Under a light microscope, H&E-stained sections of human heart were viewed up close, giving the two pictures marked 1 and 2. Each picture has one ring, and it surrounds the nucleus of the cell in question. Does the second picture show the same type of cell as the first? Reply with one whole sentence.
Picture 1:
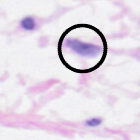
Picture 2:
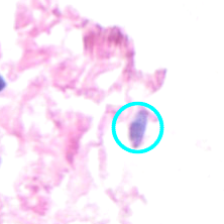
Yes, both cells are fibroblasts.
